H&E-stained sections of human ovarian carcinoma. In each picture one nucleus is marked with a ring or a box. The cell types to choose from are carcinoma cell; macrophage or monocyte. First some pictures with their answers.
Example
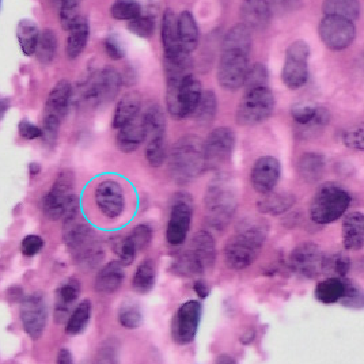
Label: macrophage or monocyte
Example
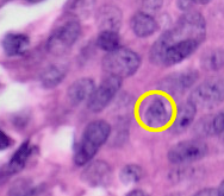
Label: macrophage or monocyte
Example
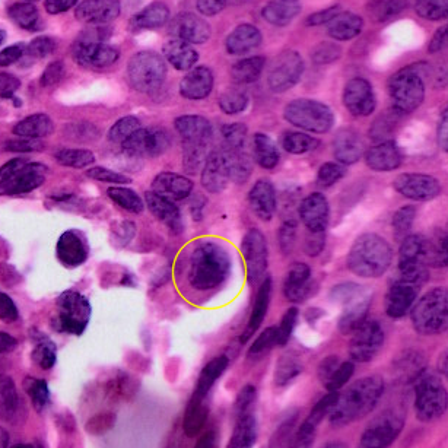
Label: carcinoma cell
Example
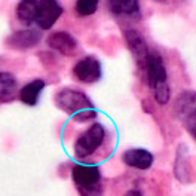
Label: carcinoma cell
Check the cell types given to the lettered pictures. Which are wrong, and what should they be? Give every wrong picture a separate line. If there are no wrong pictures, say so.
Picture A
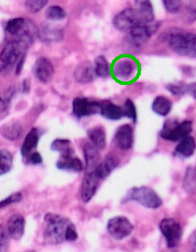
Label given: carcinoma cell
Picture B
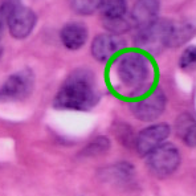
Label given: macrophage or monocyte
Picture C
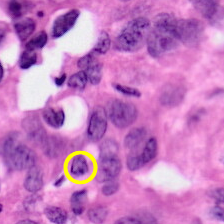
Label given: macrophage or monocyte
B: not macrophage or monocyte but carcinoma cell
